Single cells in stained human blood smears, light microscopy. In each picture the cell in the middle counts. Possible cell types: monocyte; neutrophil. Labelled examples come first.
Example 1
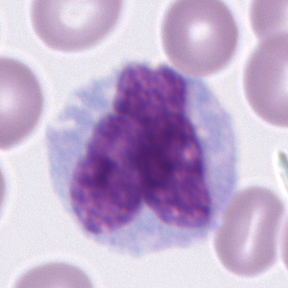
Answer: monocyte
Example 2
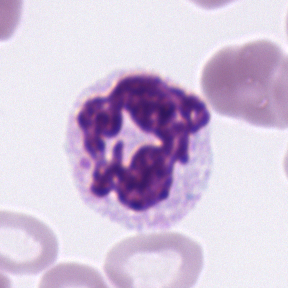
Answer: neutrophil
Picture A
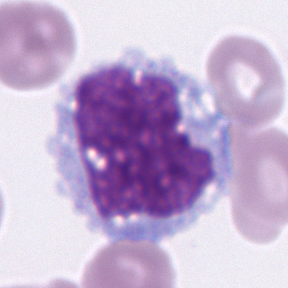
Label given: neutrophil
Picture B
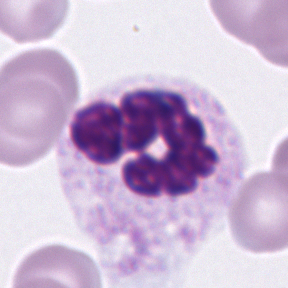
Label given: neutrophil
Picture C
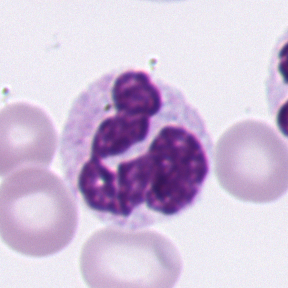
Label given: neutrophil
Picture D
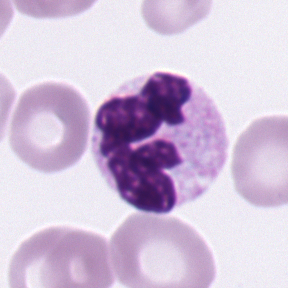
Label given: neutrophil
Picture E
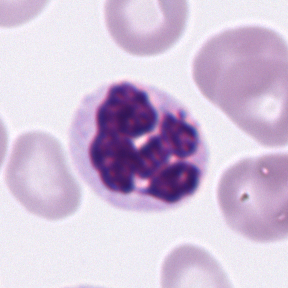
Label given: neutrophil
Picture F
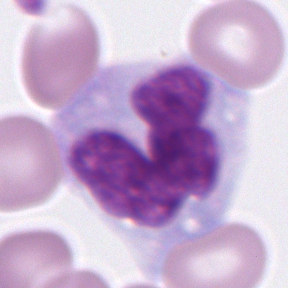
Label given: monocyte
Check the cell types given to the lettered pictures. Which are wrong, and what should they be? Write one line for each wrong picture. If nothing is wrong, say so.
A: change neutrophil to monocyte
